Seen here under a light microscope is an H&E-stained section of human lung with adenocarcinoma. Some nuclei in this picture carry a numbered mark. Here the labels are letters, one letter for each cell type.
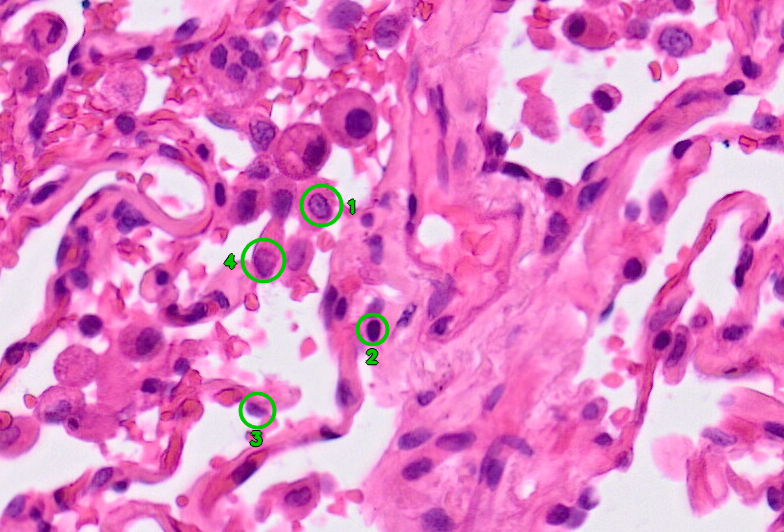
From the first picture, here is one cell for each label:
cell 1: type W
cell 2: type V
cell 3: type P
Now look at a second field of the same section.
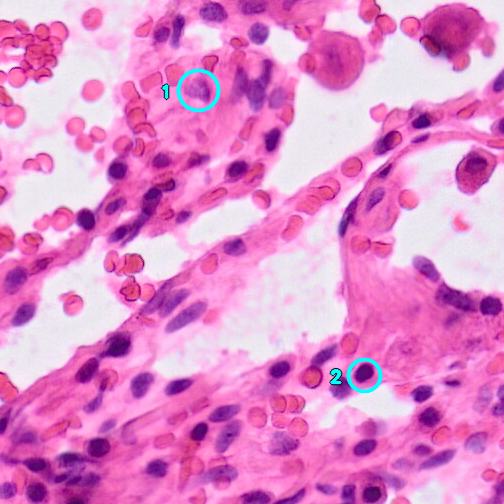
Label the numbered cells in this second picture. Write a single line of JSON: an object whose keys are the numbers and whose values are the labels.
{"1": "type P", "2": "type V"}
